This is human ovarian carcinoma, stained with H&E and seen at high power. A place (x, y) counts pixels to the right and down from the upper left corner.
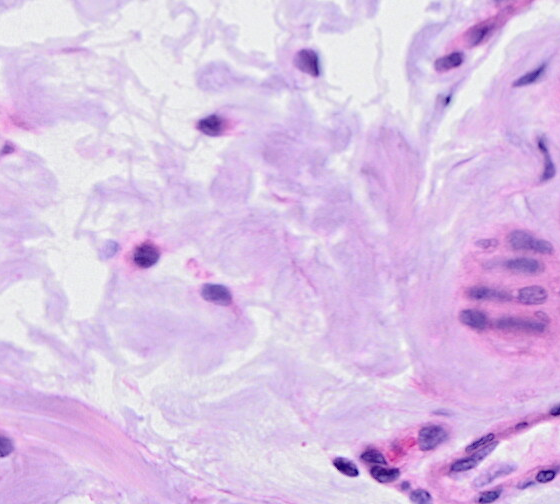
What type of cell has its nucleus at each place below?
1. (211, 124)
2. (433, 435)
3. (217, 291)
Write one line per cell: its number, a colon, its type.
1: fibroblast
2: endothelial cell
3: fibroblast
